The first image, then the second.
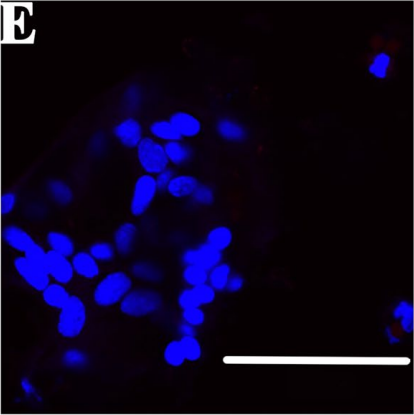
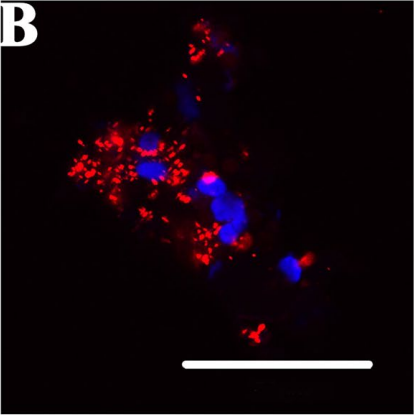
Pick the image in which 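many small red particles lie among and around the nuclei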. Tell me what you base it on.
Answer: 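The second image. First image: only blue nuclei are visible, with no red particles. Second image: numerous bright red dots cluster around a few blue nuclei.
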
